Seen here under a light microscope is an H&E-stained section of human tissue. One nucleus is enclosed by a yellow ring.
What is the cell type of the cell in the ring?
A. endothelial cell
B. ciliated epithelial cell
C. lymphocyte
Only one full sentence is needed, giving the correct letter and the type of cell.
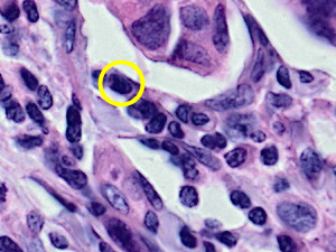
It is correct to say that the cell in the ring is a lymphocyte, as option C does.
